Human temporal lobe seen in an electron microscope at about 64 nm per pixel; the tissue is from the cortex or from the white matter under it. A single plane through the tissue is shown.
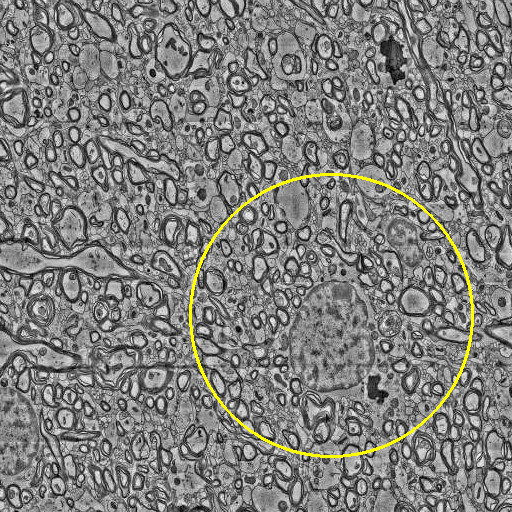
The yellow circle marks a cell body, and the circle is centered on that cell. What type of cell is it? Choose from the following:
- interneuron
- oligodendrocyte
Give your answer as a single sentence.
This cell body belongs to an oligodendrocyte.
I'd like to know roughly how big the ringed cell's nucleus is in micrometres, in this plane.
Roughly 7 micrometres by 6 micrometres, in this plane.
